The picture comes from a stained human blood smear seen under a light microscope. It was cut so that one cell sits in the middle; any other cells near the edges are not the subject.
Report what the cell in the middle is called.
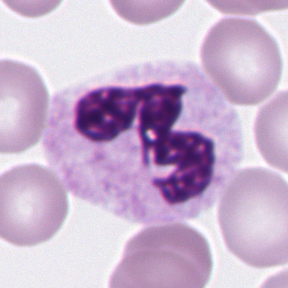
neutrophil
